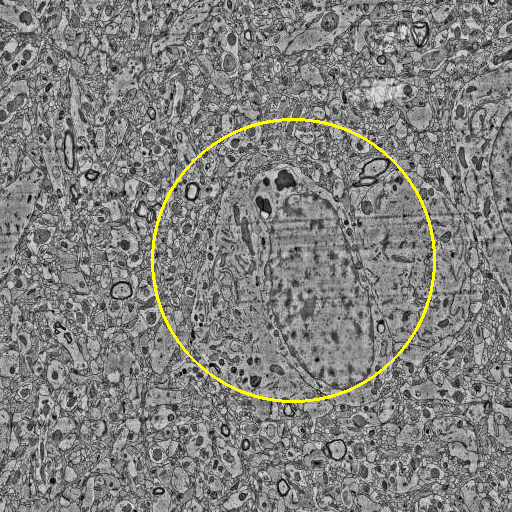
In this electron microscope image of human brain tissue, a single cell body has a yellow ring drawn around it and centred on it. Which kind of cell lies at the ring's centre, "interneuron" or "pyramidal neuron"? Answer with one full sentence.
It is an interneuron whose cell body lies at the centre of the yellow ring here.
